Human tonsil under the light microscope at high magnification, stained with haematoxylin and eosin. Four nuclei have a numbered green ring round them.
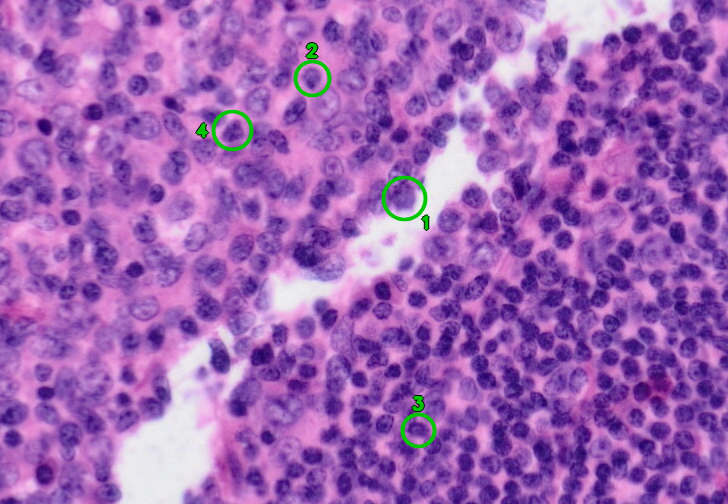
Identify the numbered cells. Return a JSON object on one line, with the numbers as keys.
{"1": "proliferating B cell", "2": "proliferating B cell", "3": "small lymphocyte", "4": "proliferating B cell"}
